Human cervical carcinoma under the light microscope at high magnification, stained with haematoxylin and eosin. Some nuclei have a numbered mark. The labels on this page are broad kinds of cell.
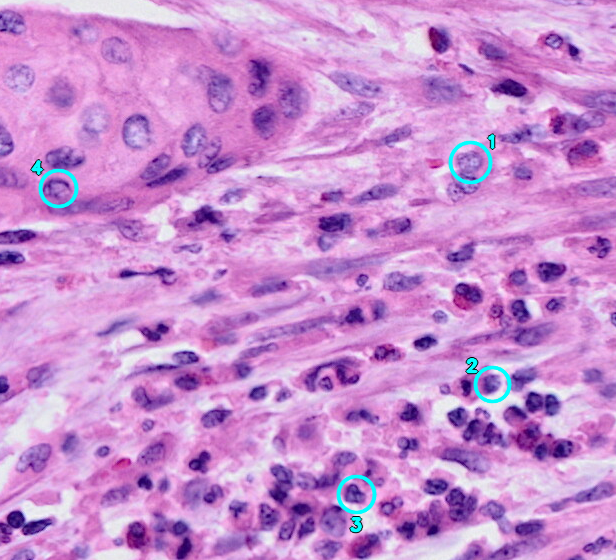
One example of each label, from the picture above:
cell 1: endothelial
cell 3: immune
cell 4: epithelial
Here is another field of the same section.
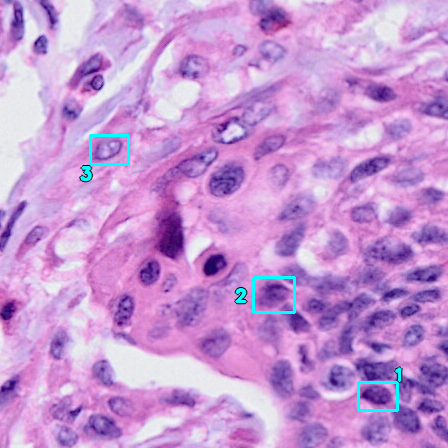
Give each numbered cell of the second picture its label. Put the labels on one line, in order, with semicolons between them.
epithelial; epithelial; endothelial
